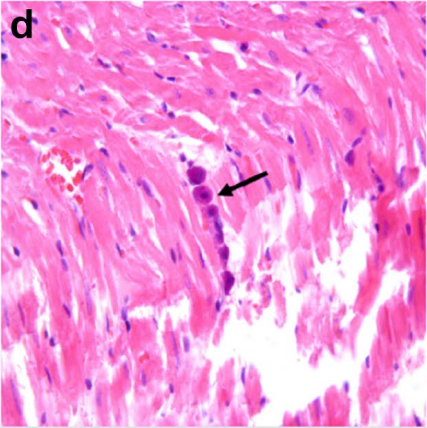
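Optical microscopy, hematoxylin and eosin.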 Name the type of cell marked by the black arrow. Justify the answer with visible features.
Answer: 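A short column of rounded cells with dense purple cytoplasm lies between the muscle fibres. These cells are clearly larger and rounder than the elongated nuclei of the muscle fibres.
Answer: mast cells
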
